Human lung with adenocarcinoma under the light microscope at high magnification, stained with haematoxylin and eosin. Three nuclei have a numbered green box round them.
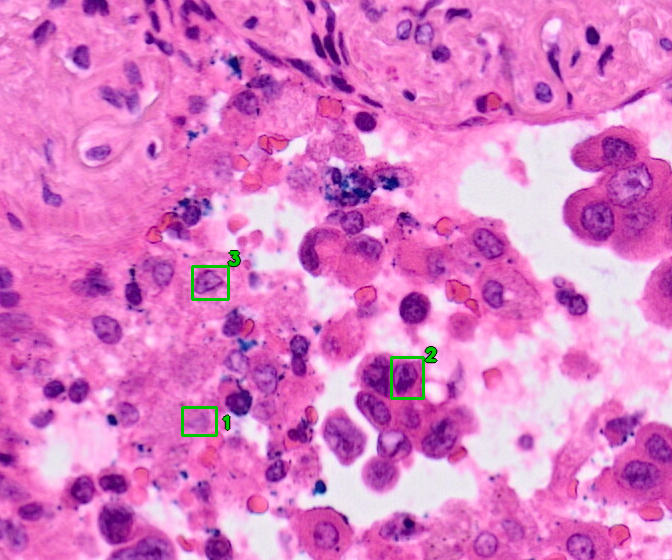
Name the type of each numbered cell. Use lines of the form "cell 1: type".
cell 1: macrophage or monocyte
cell 2: carcinoma cell
cell 3: macrophage or monocyte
